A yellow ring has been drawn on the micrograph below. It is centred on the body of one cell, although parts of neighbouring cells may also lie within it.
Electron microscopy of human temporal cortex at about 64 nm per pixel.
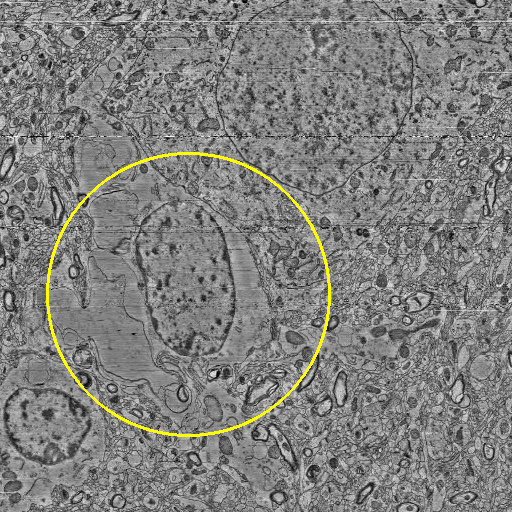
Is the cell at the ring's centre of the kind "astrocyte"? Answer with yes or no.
yes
